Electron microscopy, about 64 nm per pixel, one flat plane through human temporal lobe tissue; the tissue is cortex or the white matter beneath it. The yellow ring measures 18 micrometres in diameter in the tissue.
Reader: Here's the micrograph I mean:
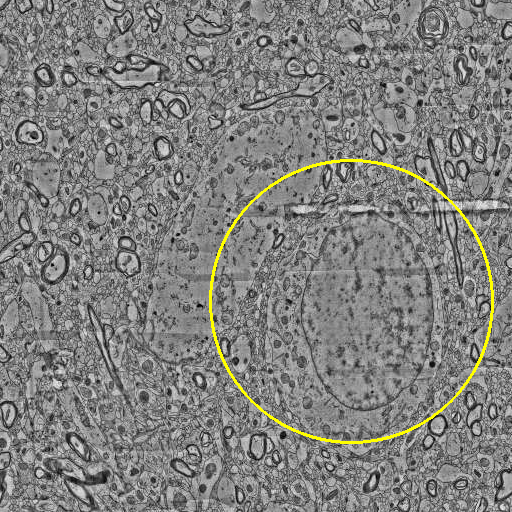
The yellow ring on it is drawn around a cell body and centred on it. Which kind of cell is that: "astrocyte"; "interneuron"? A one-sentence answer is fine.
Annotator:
The ring is centred on an interneuron.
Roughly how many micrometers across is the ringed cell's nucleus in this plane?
The ringed cell's nucleus measures approximately 13 by 9 micrometres in this plane.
